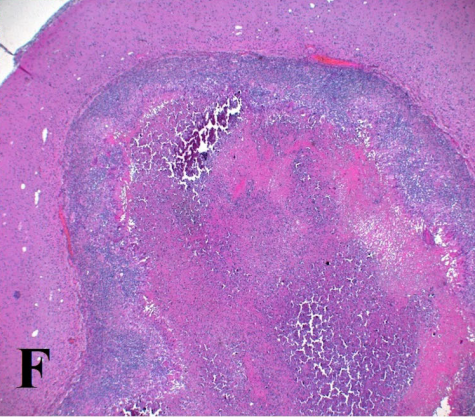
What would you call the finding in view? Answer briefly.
Severe necrosis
